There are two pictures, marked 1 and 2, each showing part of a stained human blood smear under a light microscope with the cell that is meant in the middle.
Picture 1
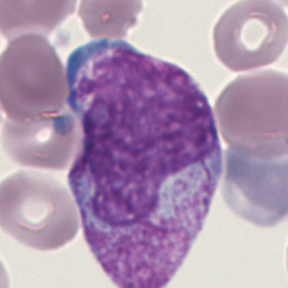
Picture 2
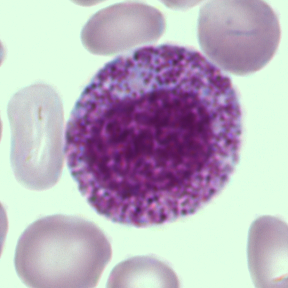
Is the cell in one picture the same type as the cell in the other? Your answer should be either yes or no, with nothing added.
no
